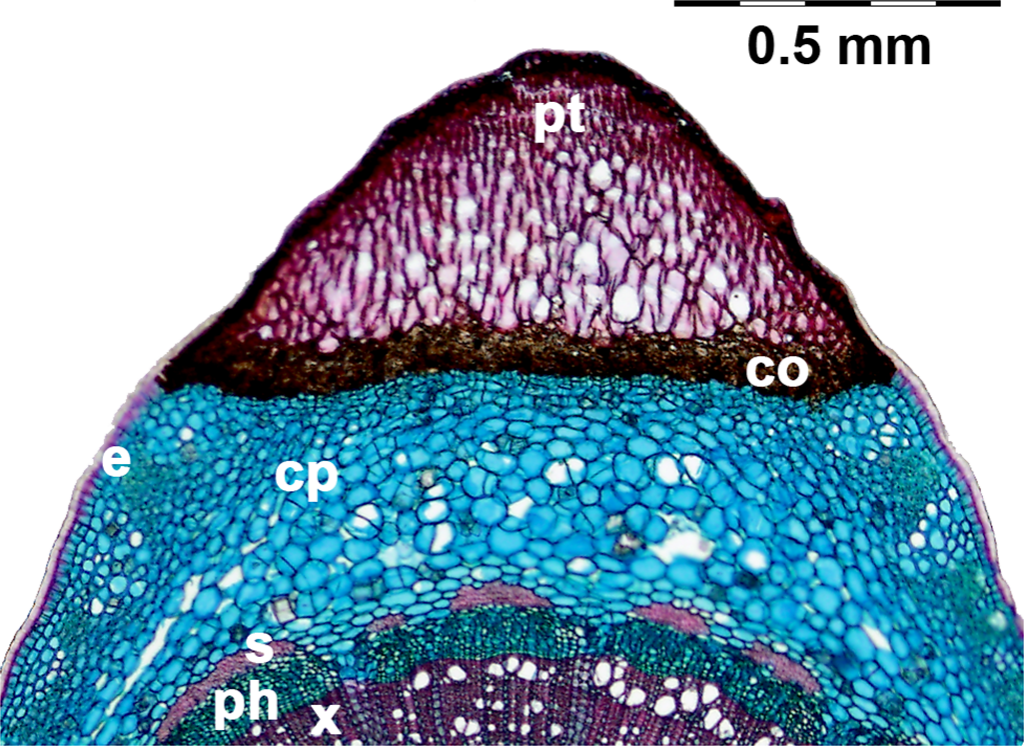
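This cross-section of a stem shows a prickle rising from its surface, built of thick-walled, red-stained cells. A dark brown cork band lies at its base. Below it, the stem has a thin outer epidermis and a broad cortex of large, rounded, blue thin-walled parenchyma cells. Deeper in lie pink-red caps of sclerenchyma, a green band of small, tightly packed phloem cells, and at the centre the red xylem with wide vessel openings in radial rows.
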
